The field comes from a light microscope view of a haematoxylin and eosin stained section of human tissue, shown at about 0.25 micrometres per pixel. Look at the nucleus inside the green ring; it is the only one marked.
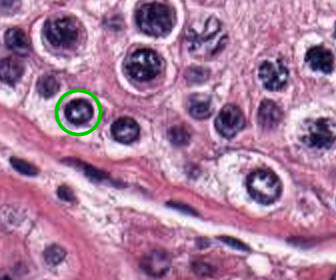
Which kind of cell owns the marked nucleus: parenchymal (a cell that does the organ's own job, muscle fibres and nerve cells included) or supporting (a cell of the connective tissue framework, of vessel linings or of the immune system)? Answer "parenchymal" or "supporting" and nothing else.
parenchymal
